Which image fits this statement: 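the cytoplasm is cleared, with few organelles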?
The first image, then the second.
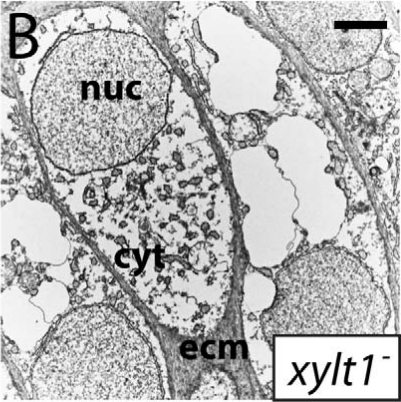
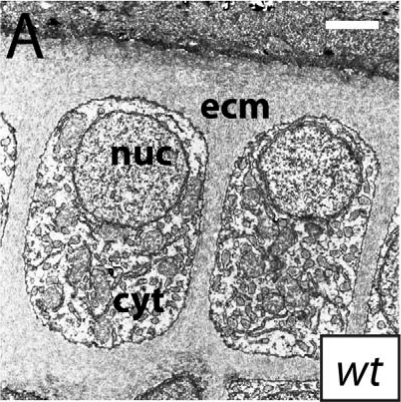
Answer: The first image.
